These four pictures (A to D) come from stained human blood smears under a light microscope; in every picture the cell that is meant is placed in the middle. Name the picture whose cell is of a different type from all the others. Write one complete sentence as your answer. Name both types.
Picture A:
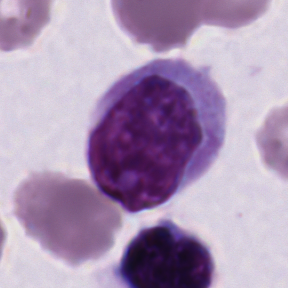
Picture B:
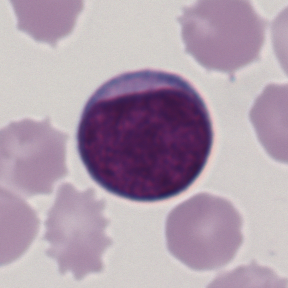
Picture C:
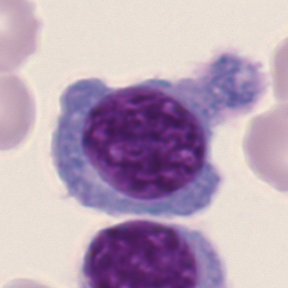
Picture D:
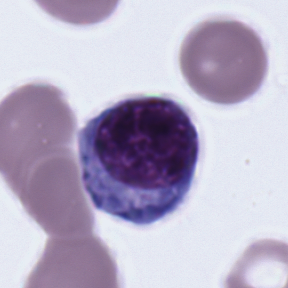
Picture B differs, because its cell is a myeloblast and the rest are plasma cells.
